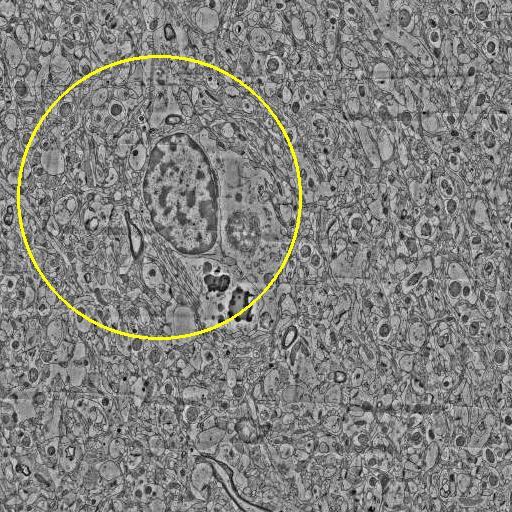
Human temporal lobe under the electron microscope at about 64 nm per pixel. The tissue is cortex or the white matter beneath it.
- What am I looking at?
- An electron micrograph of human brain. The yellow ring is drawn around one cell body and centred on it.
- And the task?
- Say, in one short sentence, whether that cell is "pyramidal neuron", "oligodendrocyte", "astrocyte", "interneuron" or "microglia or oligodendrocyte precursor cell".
The cell in the middle of the ring is a microglial cell or oligodendrocyte precursor cell.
